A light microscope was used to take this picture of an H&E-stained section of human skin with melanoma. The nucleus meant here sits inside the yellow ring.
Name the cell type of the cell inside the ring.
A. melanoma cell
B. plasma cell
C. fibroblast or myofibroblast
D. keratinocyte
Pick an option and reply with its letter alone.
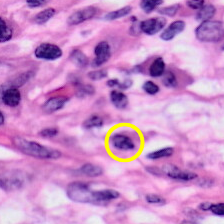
B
